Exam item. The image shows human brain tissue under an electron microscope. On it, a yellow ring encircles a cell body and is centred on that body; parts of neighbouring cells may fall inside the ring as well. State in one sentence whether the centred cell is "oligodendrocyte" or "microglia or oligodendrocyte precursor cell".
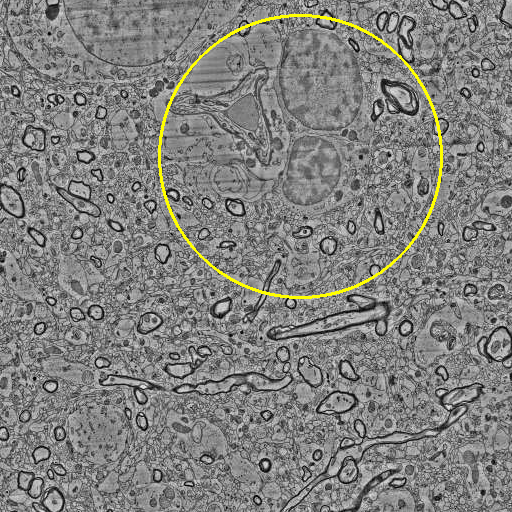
The cell body centred in the ring is an oligodendrocyte.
